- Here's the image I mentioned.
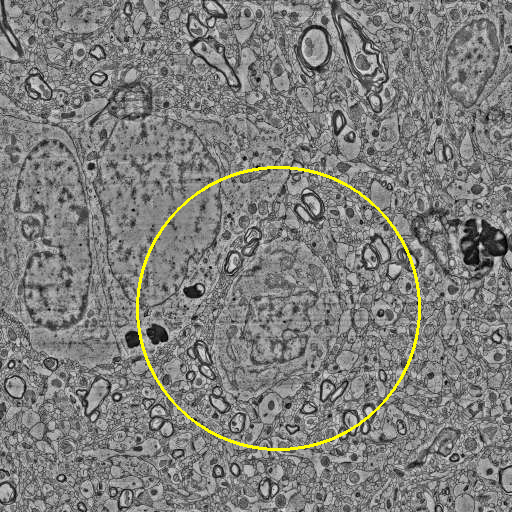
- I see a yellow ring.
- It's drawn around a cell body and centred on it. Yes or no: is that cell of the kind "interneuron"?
yes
